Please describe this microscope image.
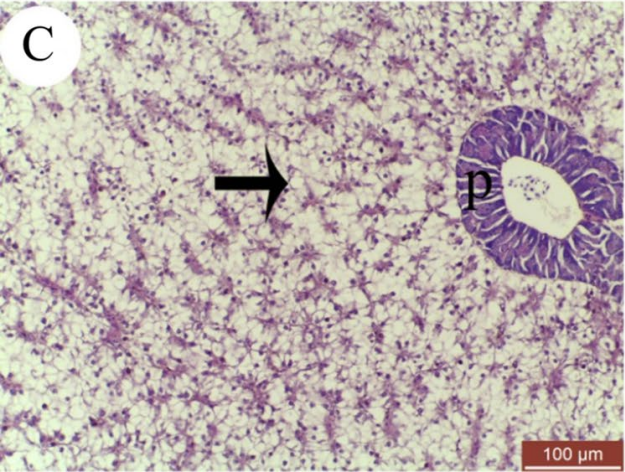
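Hepatopancreas with hepatocytes and pancreatic tissue. At one side a ring of deep purple pancreatic tissue, with cells arranged radially, surrounds a central open lumen containing a few cells.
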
